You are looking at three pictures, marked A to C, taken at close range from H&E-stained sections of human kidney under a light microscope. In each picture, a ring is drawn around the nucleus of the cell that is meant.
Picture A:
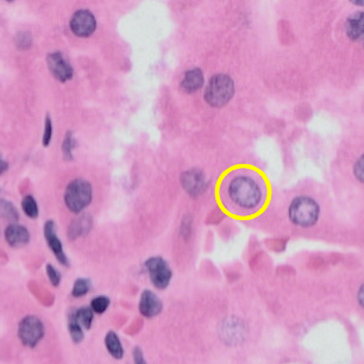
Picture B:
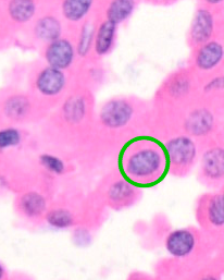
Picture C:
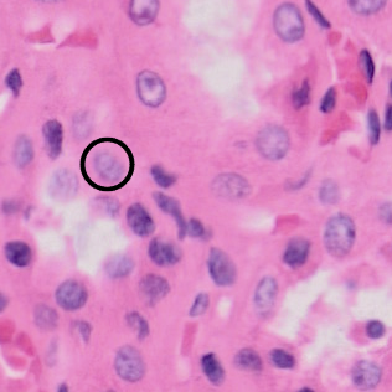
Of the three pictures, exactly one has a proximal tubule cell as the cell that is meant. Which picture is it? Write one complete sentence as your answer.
Picture A shows the proximal tubule cell.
